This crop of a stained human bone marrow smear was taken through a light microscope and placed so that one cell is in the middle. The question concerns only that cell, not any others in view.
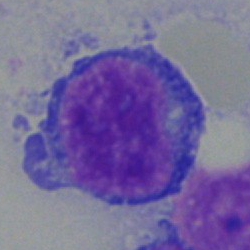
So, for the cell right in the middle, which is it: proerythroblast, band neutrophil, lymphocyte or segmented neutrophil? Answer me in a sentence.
As for the central cell, it is a proerythroblast.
